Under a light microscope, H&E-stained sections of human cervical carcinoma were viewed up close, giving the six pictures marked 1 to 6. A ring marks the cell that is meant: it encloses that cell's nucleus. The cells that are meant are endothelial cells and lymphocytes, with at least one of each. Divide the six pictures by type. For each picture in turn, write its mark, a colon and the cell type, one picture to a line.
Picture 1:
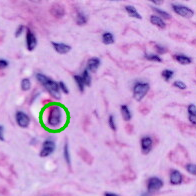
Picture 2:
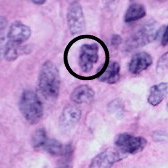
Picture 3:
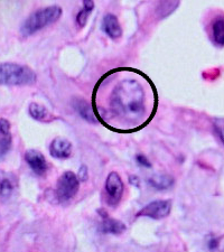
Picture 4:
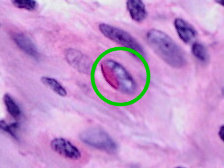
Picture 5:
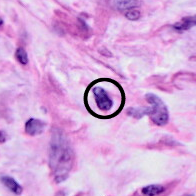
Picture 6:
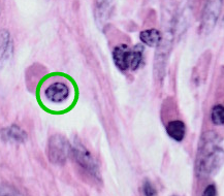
1: endothelial cell
2: lymphocyte
3: endothelial cell
4: endothelial cell
5: lymphocyte
6: lymphocyte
